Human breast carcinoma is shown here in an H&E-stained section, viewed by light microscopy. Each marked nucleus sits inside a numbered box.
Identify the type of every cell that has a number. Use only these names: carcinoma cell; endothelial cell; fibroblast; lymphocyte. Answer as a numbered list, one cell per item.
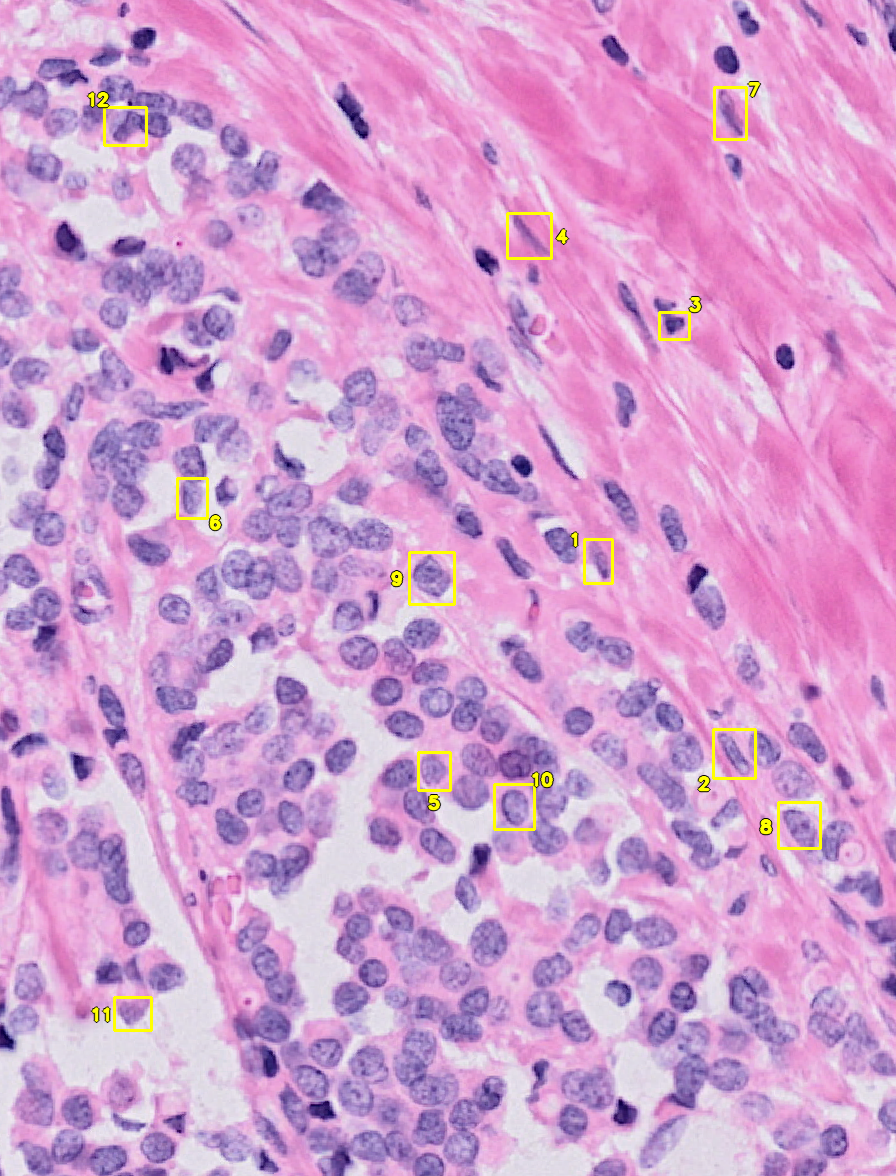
1. fibroblast
2. endothelial cell
3. lymphocyte
4. fibroblast
5. carcinoma cell
6. carcinoma cell
7. fibroblast
8. carcinoma cell
9. carcinoma cell
10. carcinoma cell
11. carcinoma cell
12. carcinoma cell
